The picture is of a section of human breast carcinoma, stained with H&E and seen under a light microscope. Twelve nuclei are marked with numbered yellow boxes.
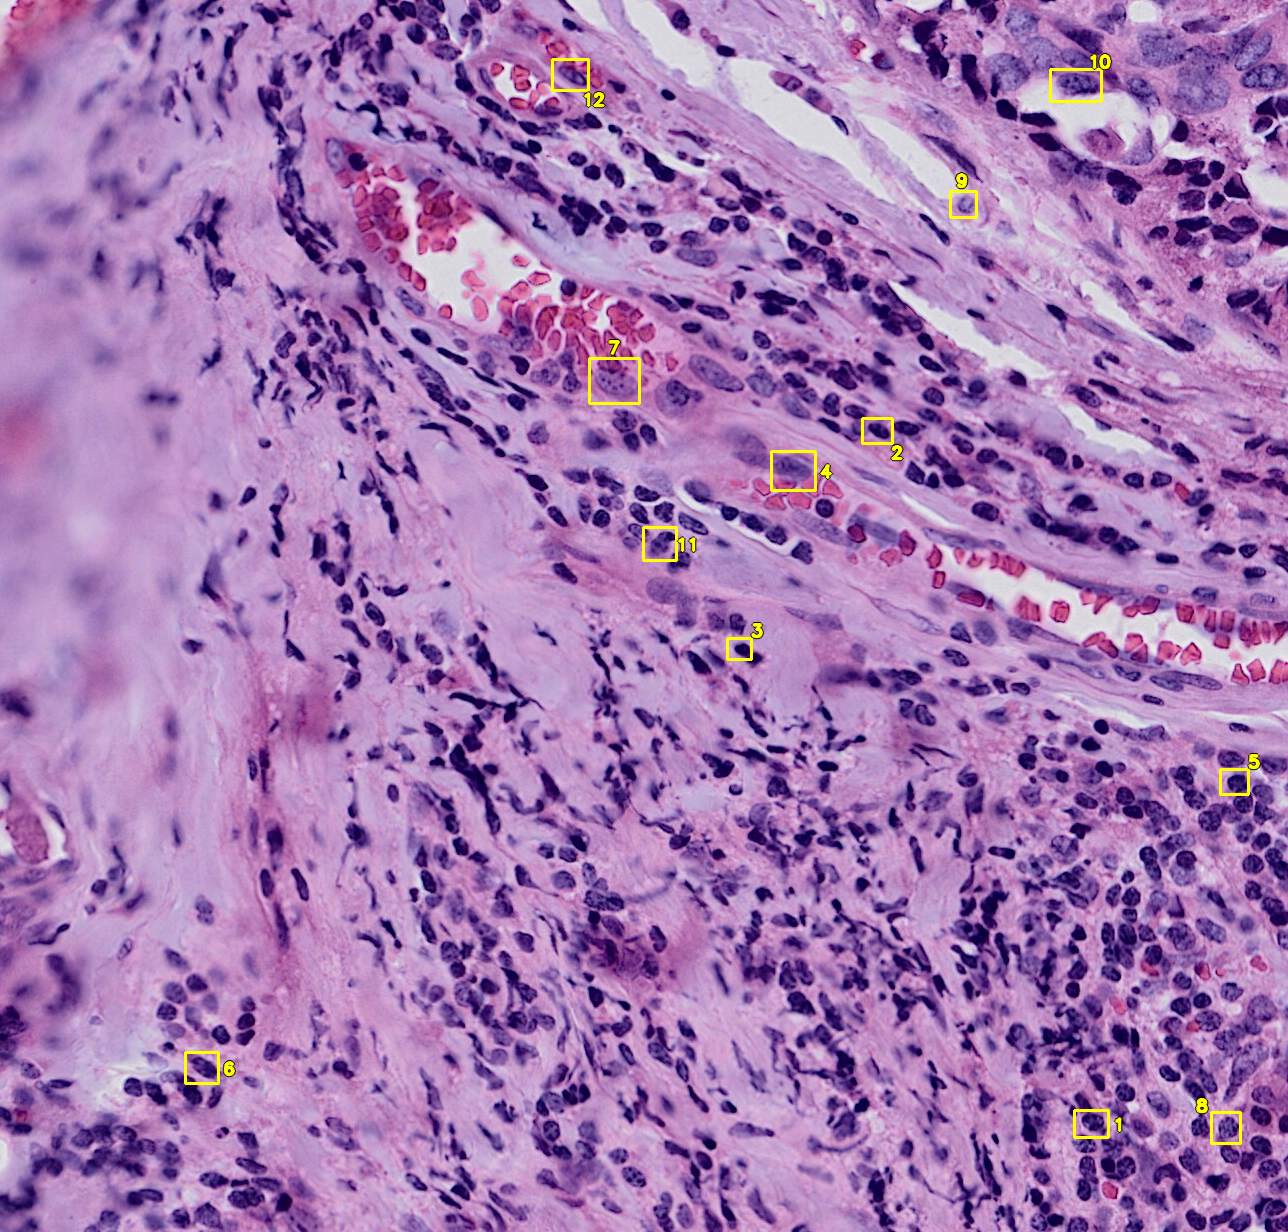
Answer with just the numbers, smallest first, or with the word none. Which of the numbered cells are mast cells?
9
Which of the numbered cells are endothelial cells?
4, 7, 12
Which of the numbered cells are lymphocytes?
1, 2, 3, 5, 6, 8, 11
